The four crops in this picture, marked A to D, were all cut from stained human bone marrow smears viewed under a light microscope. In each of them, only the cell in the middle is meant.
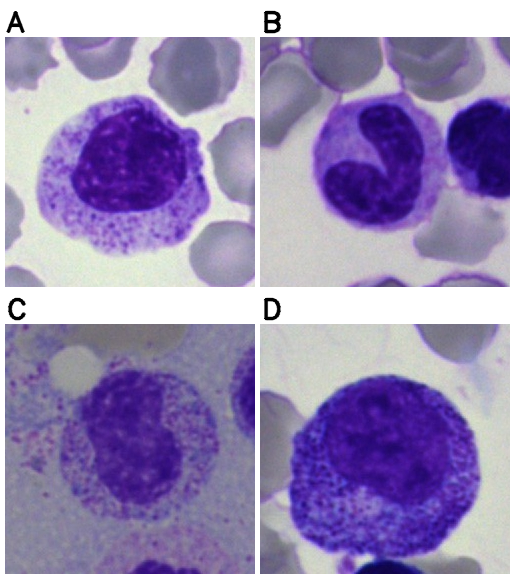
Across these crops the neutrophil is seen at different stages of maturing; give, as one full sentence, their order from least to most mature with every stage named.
The maturation order of the crops, earliest to latest, is crop D (a promyelocyte), crop A (a myelocyte), crop C (a metamyelocyte) and crop B (a band neutrophil).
